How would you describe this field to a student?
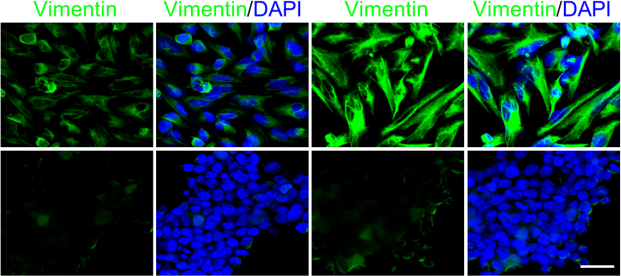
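In the upper row the cells are spread apart; a green filamentous network fills the cytoplasm around each nucleus, and in the right-hand pair the cells are elongated, spindle-shaped, with long green fibrous extensions running in parallel. In the lower row the cells are packed tightly in dense sheets, nuclei crowded and overlapping, with almost no green visible in the cytoplasm.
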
